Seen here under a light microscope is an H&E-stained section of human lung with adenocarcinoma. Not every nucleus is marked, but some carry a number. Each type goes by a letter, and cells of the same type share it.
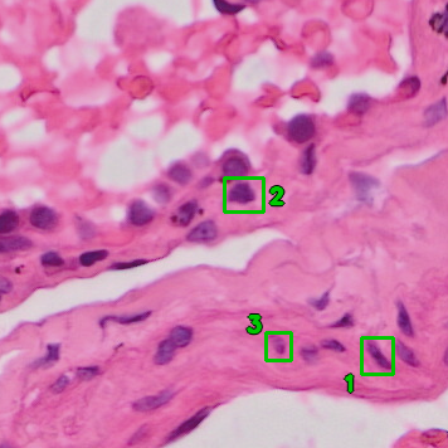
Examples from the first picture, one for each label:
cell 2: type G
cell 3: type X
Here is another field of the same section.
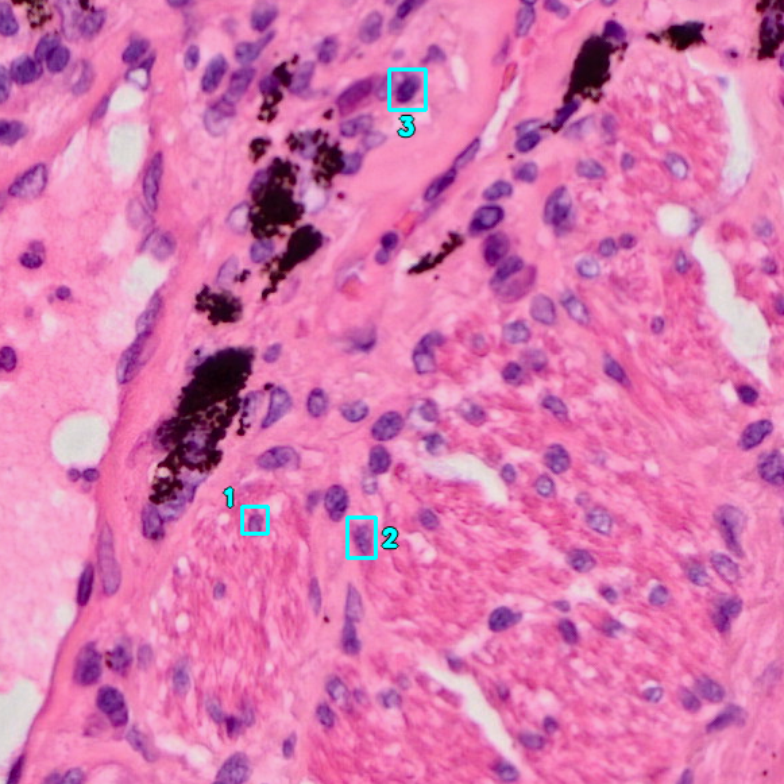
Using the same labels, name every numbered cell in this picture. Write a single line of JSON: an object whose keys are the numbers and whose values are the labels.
{"1": "type X", "2": "type X", "3": "type G"}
